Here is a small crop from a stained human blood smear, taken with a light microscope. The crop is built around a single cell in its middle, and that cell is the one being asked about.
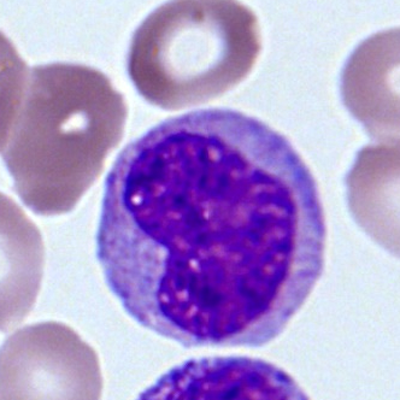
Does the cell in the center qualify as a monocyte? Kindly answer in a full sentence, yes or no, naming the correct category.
Yes, the central cell of this crop corresponds to a monocyte.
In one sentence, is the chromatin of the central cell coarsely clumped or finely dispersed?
The chromatin in this nucleus is coarsely clumped.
